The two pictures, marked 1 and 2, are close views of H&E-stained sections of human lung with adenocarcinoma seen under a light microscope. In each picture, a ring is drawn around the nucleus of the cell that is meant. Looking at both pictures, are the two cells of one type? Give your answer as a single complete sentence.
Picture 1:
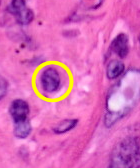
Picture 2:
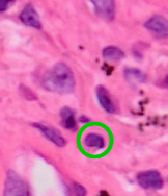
No; the cell in picture 1 is a plasma cell, while the one in picture 2 is a lymphocyte.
